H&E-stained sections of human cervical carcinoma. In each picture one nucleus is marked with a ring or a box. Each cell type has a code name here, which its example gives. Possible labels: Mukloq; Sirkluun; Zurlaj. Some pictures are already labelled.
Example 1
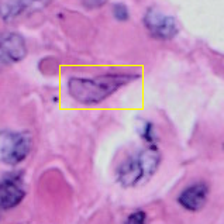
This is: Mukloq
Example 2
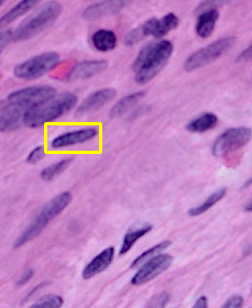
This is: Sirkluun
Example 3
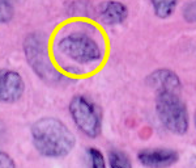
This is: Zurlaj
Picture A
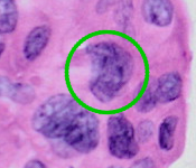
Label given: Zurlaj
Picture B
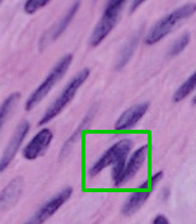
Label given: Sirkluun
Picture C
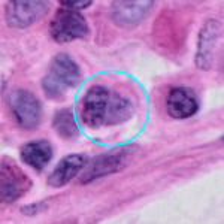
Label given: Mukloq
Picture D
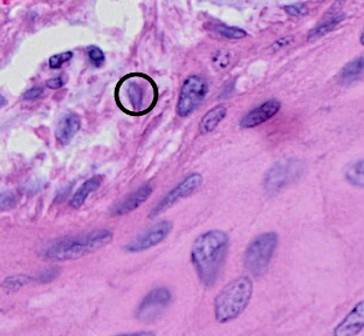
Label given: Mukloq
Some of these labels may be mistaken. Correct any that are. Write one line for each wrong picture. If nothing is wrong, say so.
D: Sirkluun, not Mukloq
